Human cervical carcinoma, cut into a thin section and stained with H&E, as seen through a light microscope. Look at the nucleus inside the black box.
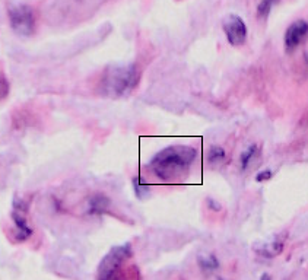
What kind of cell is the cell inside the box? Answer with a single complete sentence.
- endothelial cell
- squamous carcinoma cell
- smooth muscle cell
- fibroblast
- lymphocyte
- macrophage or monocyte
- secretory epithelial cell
In this tissue sample, the cell inside the box is a macrophage or monocyte.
